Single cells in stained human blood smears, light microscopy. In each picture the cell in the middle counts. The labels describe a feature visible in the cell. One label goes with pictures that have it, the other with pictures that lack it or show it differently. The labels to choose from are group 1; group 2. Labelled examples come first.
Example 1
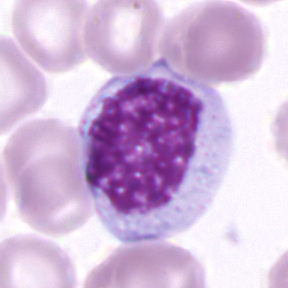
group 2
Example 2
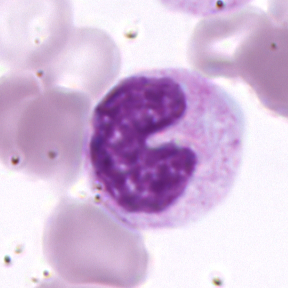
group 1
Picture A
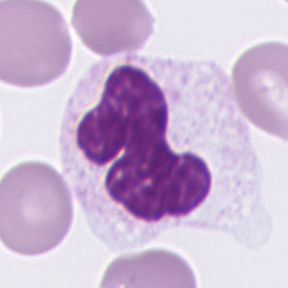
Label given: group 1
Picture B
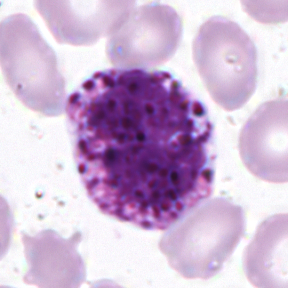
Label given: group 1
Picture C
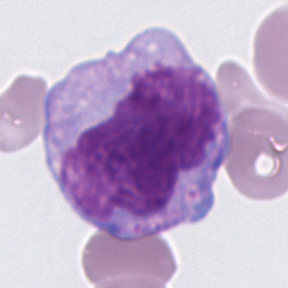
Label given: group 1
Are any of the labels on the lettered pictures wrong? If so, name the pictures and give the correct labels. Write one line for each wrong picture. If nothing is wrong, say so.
Wrong: A (group 1); correct: group 2
Wrong: C (group 1); correct: group 2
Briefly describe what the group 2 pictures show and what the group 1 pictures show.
Seen in group 2: ragged outline or projections; seen in group 1: smooth outline.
